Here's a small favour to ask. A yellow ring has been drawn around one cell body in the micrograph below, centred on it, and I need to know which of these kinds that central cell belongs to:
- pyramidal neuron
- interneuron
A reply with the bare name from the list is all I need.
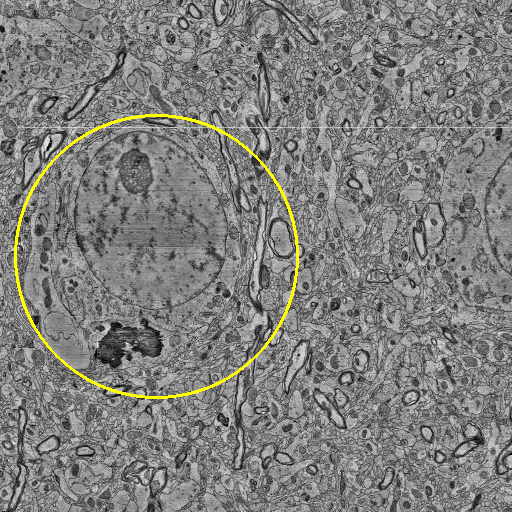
pyramidal neuron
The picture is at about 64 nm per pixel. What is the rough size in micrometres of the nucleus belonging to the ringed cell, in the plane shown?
The ringed cell's nucleus is about 12 micrometres long and 10 micrometres wide in this plane.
